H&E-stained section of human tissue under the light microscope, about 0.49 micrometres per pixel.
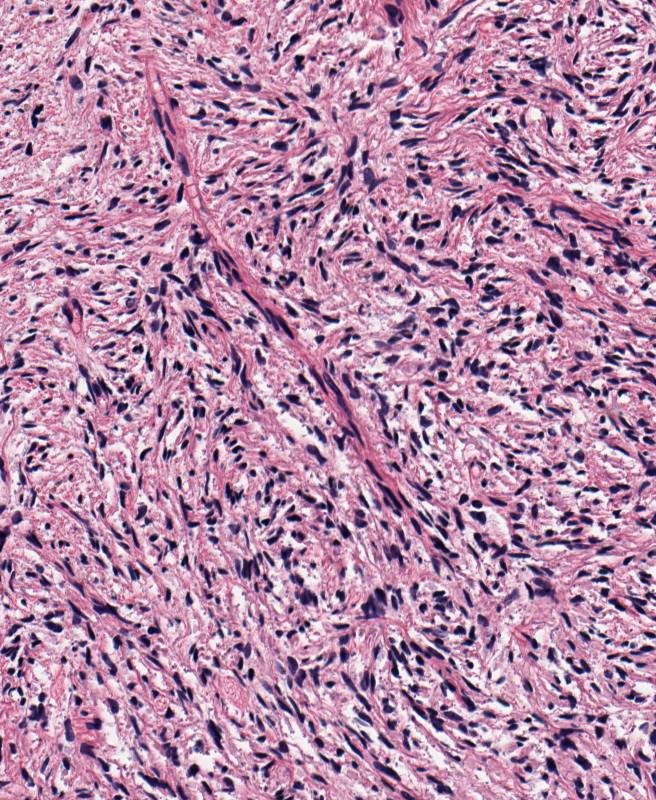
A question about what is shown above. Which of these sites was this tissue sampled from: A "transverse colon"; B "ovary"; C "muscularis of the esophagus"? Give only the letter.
B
